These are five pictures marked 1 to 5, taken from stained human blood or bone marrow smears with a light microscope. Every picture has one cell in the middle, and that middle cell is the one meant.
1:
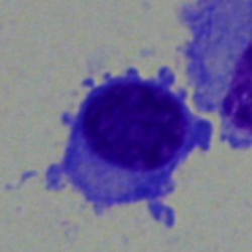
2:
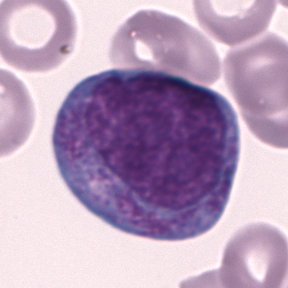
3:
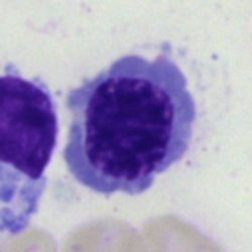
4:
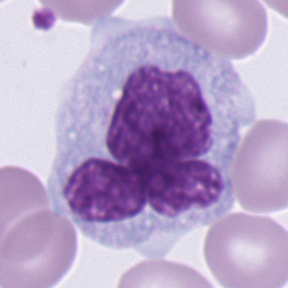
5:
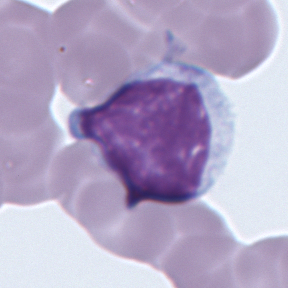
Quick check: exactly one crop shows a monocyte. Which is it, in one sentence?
The crop marked 4 is the one in which a monocyte is shown.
